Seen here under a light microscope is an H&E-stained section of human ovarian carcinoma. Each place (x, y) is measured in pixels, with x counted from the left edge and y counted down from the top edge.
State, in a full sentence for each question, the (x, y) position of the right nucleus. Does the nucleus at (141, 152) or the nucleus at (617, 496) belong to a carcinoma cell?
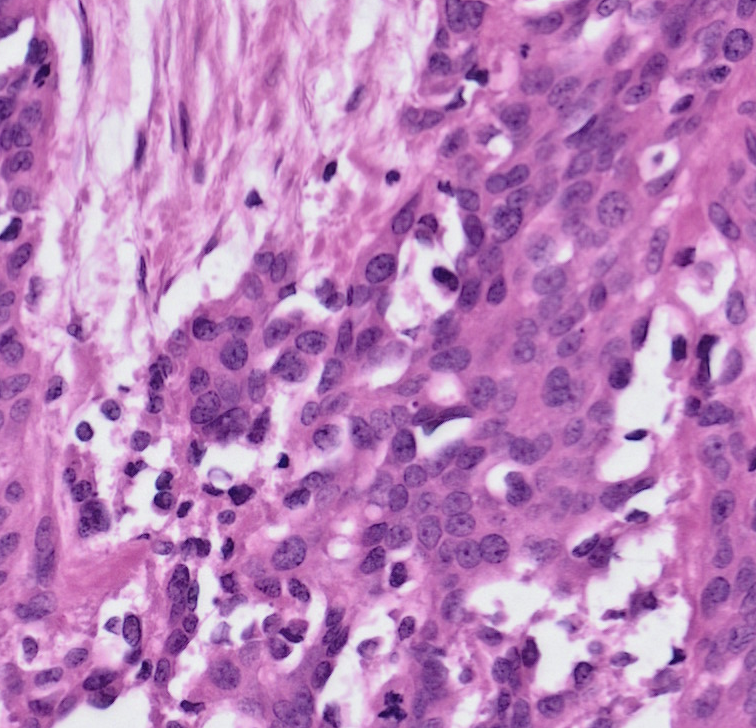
The nucleus that belongs to a carcinoma cell sits at (617, 496).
